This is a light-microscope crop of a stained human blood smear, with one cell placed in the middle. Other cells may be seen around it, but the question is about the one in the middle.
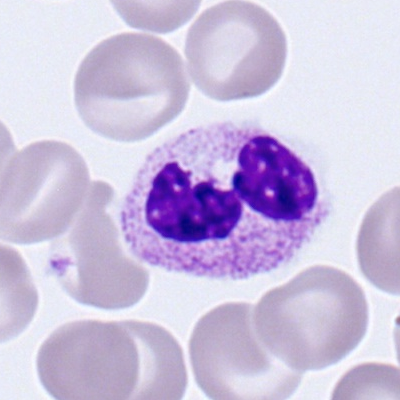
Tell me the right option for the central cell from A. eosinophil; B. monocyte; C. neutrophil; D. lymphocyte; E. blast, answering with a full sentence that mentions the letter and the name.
The cell positioned centrally is a neutrophil, as given in option C, which is correct.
